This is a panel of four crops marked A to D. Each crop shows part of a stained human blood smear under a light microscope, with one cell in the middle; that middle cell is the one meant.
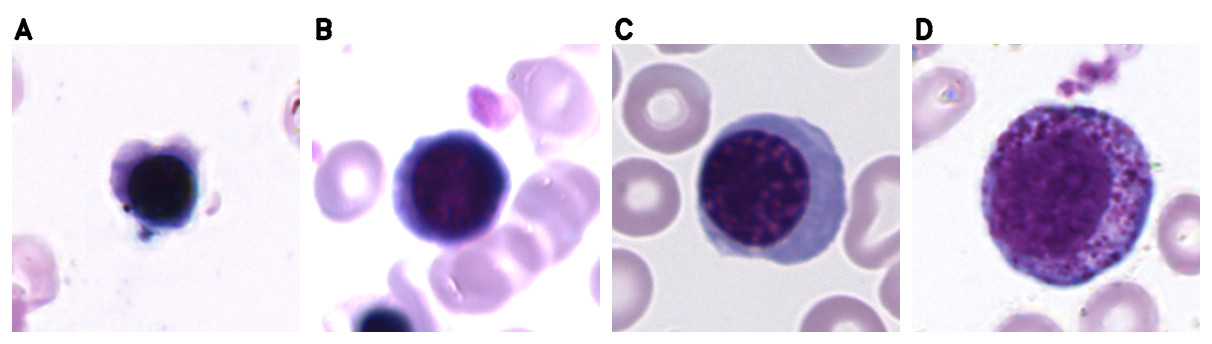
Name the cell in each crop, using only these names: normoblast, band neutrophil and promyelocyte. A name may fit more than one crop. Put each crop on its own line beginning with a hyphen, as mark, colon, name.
- A: normoblast
- B: normoblast
- C: normoblast
- D: promyelocyte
